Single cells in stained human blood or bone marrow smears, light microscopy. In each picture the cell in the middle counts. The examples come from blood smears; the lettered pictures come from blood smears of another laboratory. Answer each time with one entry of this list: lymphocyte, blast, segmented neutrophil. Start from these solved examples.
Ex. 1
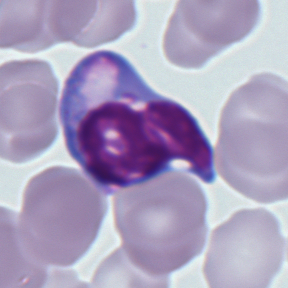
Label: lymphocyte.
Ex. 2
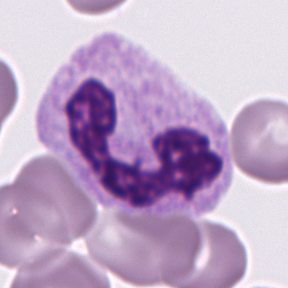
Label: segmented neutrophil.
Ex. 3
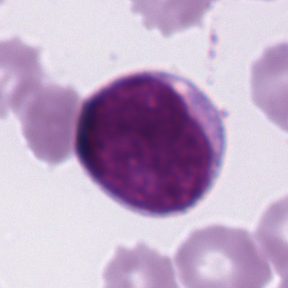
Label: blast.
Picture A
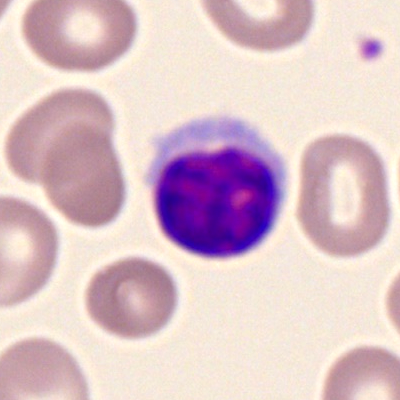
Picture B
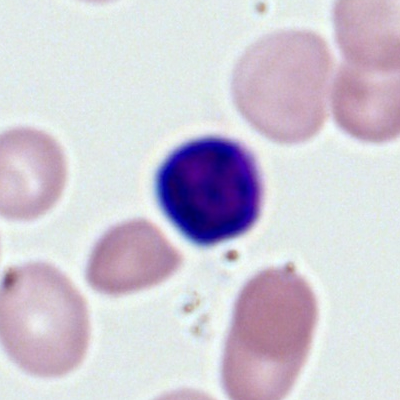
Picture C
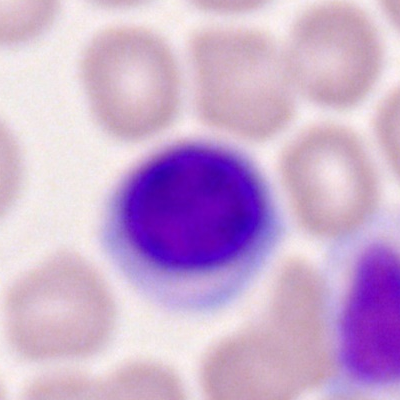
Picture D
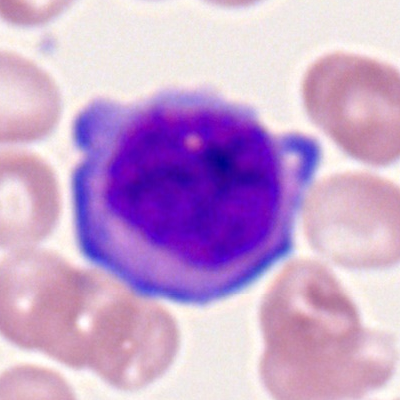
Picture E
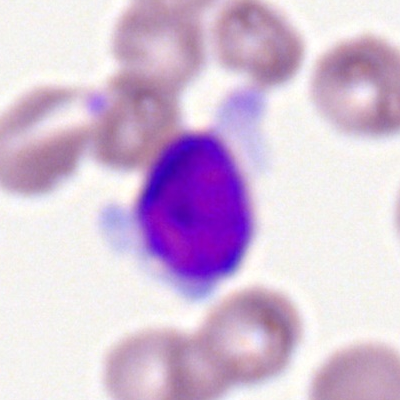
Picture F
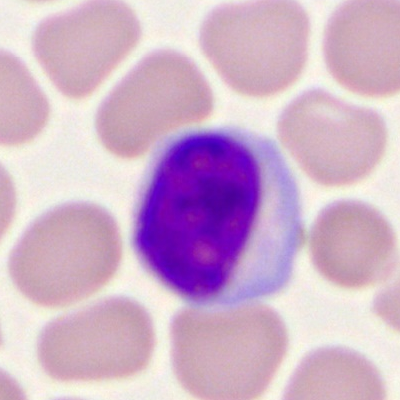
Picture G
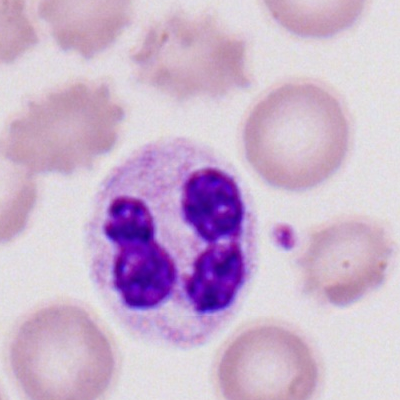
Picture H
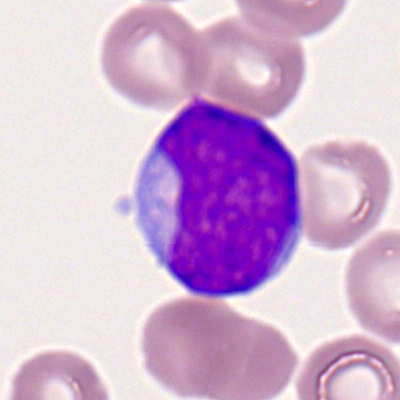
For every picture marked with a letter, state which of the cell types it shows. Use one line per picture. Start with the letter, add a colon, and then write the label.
A: lymphocyte.
B: lymphocyte.
C: lymphocyte.
D: blast.
E: lymphocyte.
F: lymphocyte.
G: segmented neutrophil.
H: blast.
